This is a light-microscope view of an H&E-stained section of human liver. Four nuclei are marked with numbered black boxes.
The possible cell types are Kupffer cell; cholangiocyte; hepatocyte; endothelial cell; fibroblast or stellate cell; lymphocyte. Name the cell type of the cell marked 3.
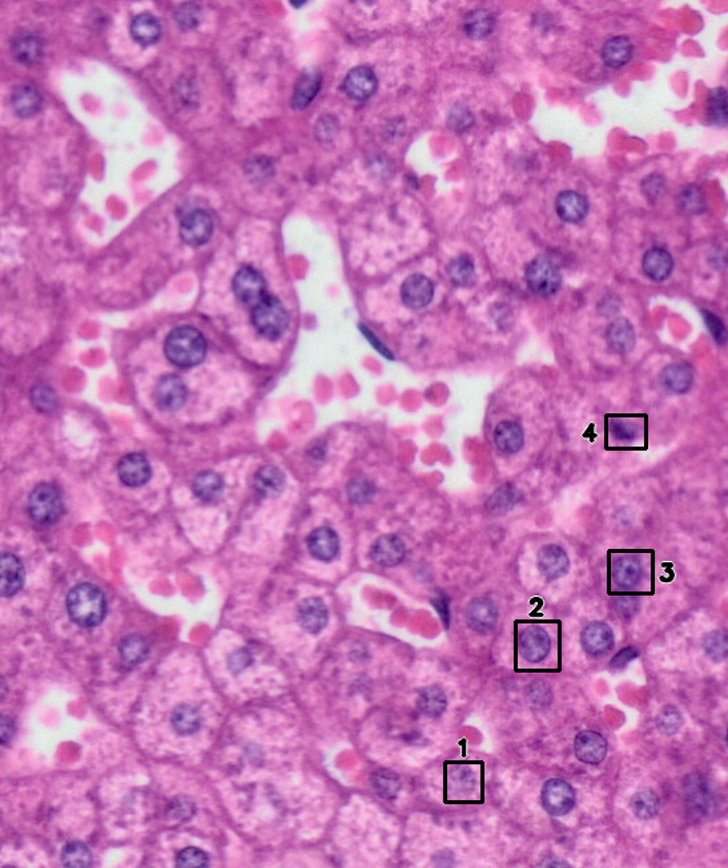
hepatocyte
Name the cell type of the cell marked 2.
hepatocyte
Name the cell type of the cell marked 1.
hepatocyte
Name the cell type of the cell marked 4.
fibroblast or stellate cell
